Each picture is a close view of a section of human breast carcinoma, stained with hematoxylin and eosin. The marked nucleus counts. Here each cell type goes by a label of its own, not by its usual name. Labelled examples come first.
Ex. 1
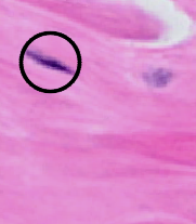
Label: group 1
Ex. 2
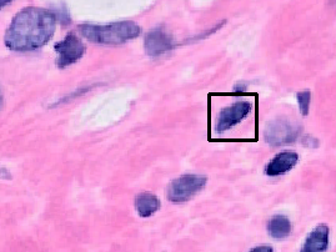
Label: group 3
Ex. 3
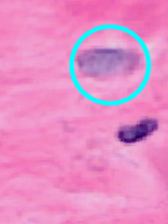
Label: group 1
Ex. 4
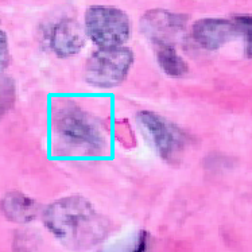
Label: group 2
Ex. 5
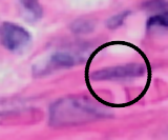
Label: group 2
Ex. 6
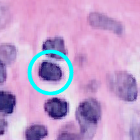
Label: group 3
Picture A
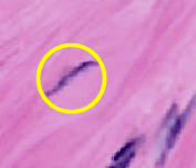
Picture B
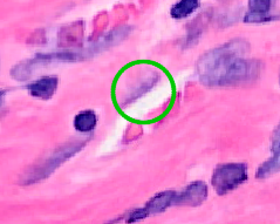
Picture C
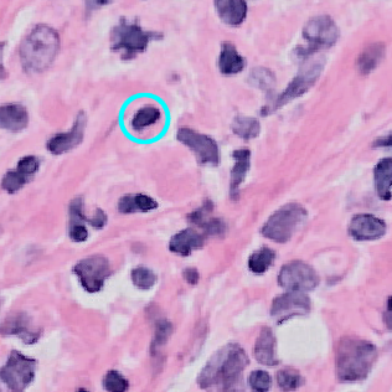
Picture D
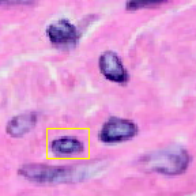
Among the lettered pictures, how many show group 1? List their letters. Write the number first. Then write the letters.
1: A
